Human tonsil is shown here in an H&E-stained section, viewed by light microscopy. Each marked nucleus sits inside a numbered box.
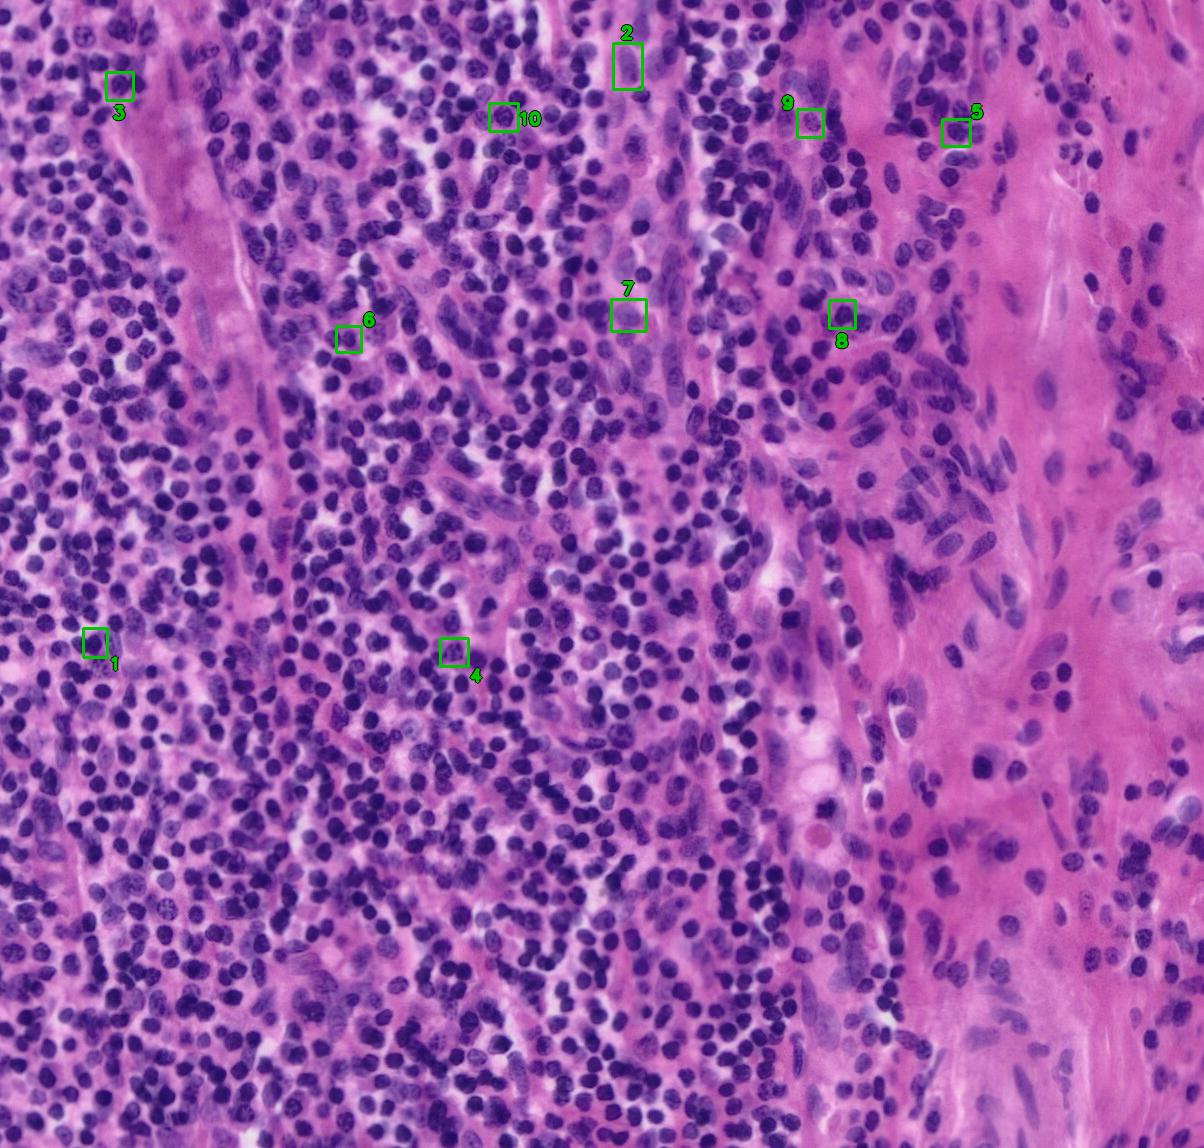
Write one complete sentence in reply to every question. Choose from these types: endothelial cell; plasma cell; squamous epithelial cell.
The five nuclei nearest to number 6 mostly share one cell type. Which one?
Plasma cells make up most of the five nuclei closest to number 6.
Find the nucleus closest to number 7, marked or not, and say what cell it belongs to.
Number 7 lies closest to the nucleus of an endothelial cell.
